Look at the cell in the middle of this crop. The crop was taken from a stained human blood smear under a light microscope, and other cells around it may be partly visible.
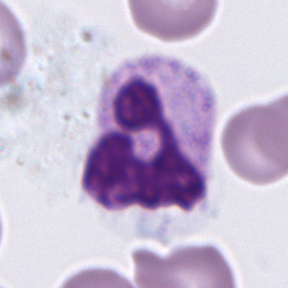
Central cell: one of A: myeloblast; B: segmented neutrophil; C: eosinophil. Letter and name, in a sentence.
Option B is to be chosen, as the central cell is a segmented neutrophil.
